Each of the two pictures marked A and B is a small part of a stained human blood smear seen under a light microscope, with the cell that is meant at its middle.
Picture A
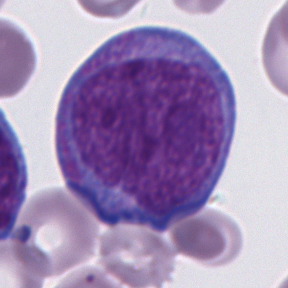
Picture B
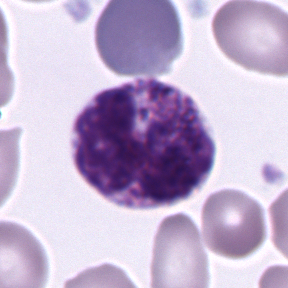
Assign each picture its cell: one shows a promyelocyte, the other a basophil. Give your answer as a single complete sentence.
Picture A is of a promyelocyte, and picture B is of a basophil.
